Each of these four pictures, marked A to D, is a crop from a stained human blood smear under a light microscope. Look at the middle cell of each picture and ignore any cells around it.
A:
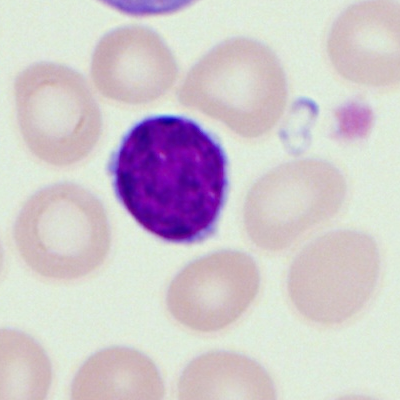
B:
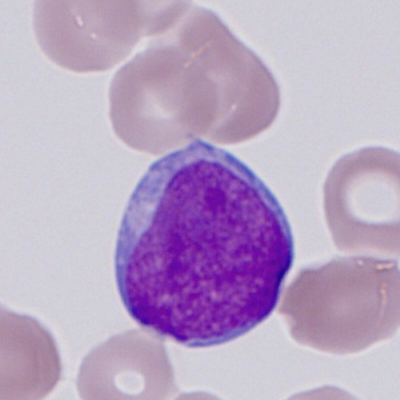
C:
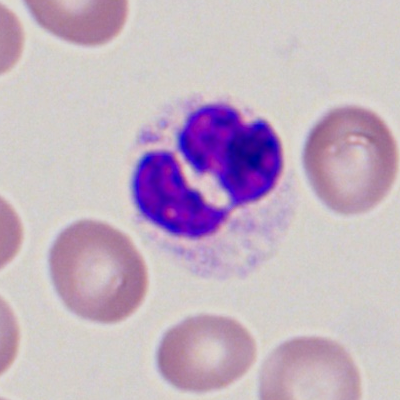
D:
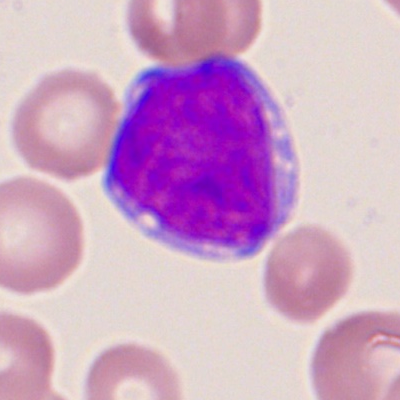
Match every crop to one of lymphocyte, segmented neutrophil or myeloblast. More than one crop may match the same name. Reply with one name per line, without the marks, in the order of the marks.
lymphocyte
myeloblast
segmented neutrophil
myeloblast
